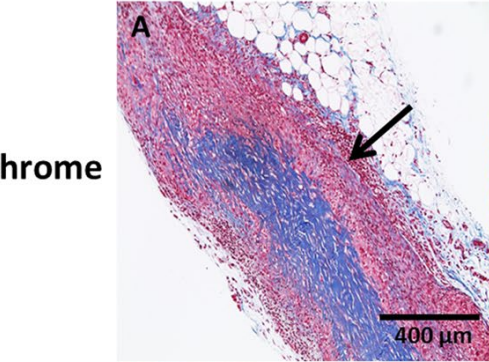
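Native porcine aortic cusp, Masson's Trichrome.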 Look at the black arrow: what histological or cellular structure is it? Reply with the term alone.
muscle fibers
